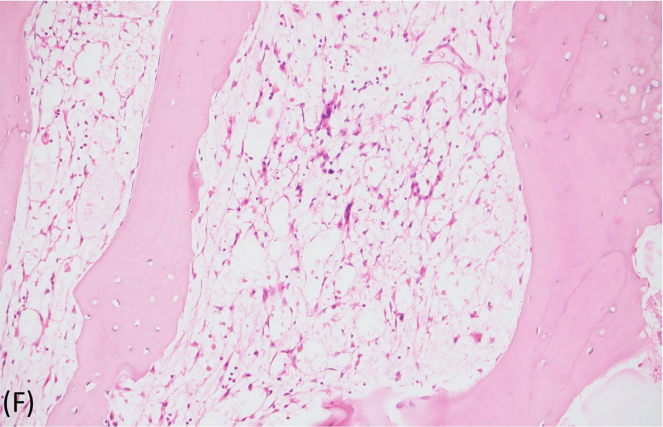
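Bone marrow biopsy in which pink bony trabeculae border marrow spaces that are markedly hypocellular. The spaces are filled with loose, pale, wispy stroma with scattered spindle and rounded cells, and no dense hematopoietic cell populations are seen.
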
